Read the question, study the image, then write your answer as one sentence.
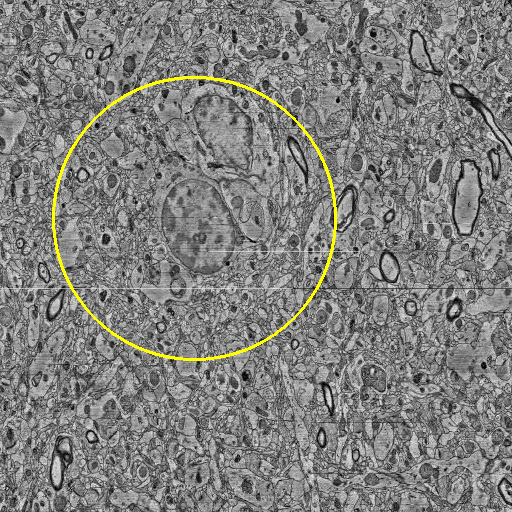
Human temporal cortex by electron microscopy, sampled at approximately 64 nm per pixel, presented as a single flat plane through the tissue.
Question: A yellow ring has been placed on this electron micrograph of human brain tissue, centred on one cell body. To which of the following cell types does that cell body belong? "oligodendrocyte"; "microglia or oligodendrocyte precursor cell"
That cell body belongs to an oligodendrocyte.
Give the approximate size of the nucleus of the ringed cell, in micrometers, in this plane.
About 6 by 5 micrometers, in this plane.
